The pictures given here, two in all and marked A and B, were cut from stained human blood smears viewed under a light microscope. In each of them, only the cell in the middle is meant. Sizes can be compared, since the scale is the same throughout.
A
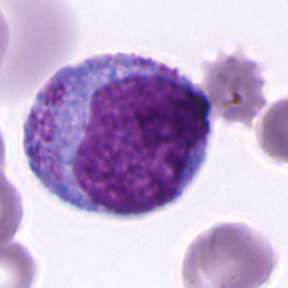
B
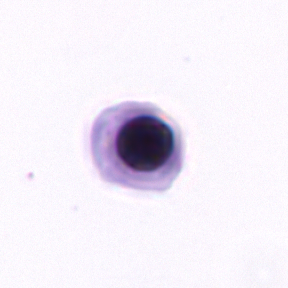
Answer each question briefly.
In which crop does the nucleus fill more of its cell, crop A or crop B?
A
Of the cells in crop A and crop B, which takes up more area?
A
